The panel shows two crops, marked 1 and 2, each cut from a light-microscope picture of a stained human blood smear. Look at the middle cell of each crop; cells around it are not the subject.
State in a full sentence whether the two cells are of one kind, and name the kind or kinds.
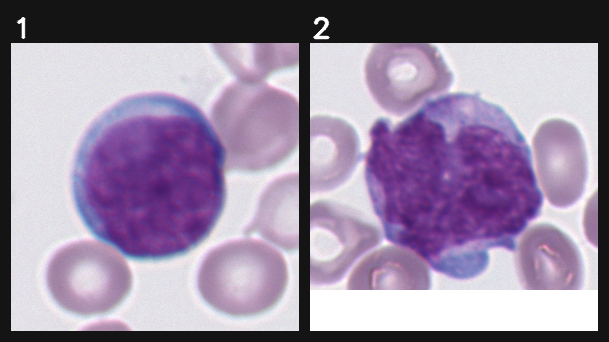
No, crop 1 shows a myeloblast, and crop 2, by contrast, shows an atypical promyelocyte.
